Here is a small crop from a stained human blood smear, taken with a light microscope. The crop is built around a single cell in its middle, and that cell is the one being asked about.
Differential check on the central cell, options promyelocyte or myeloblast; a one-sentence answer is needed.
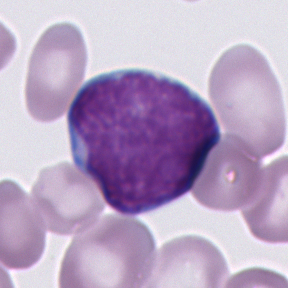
The crop centres on a single cell, and that cell is a myeloblast.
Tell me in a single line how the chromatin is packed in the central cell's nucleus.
In this cell the chromatin is fine rather than coarsely clumped.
